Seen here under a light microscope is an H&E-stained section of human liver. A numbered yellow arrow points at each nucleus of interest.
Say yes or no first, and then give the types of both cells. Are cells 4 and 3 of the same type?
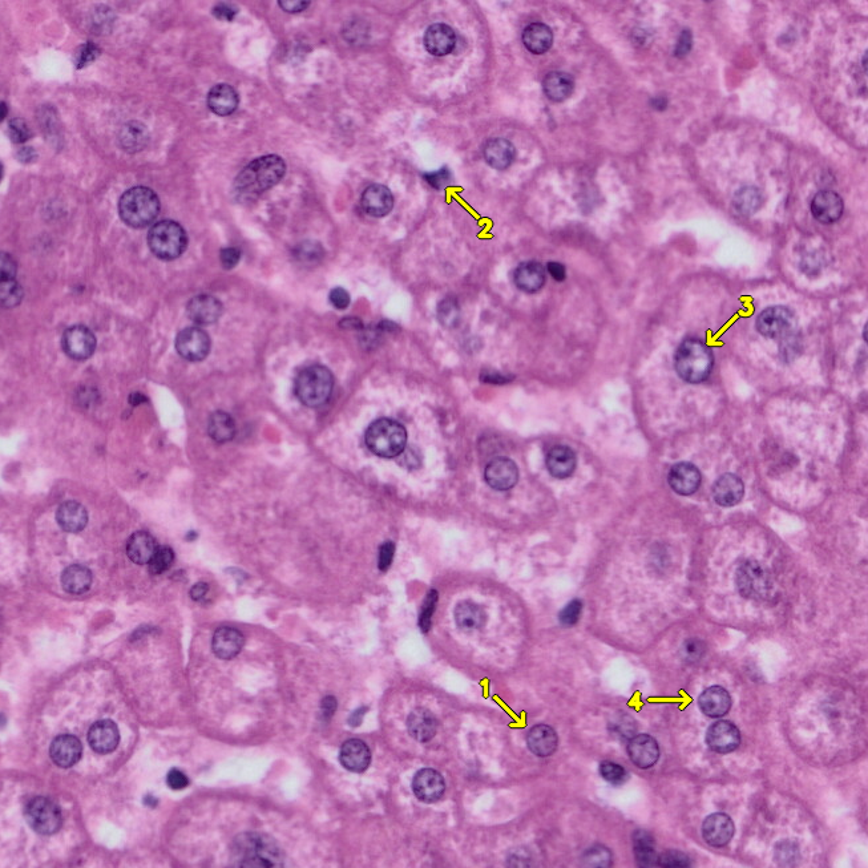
Yes, the cells marked 4 and 3 are both hepatocytes.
